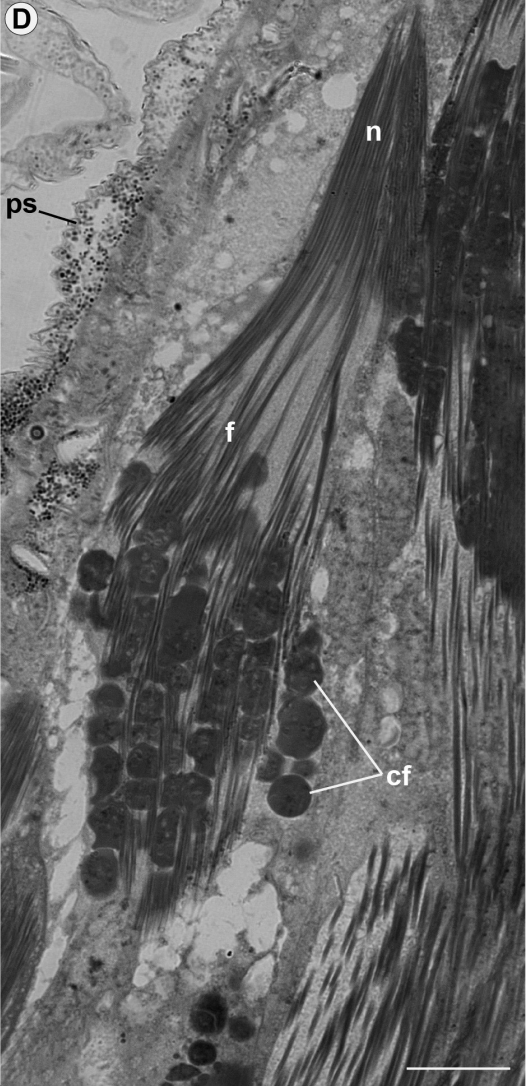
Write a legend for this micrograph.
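This is a cyst of developing spermatids, cut lengthwise, in which the cells have become extremely long and slender. Their dark, thread-like nuclei gather together into a tight, pointed bundle at one end, while the long tails fan out in parallel toward the other end. Among the tails lie many rounded, dark, granular bodies, the cell fragments being cast off as the cells thin out. Along the left edge runs a thin wrapping layer studded with small dark granules.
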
